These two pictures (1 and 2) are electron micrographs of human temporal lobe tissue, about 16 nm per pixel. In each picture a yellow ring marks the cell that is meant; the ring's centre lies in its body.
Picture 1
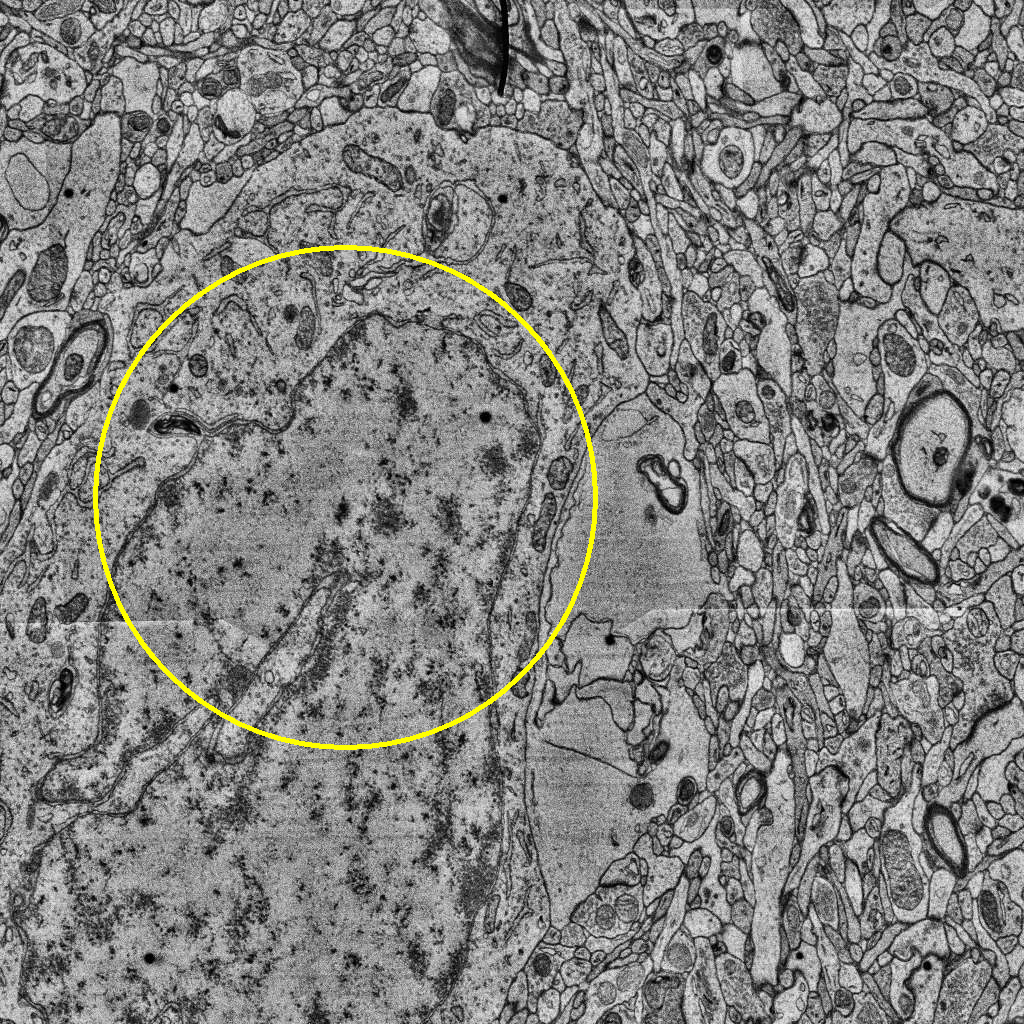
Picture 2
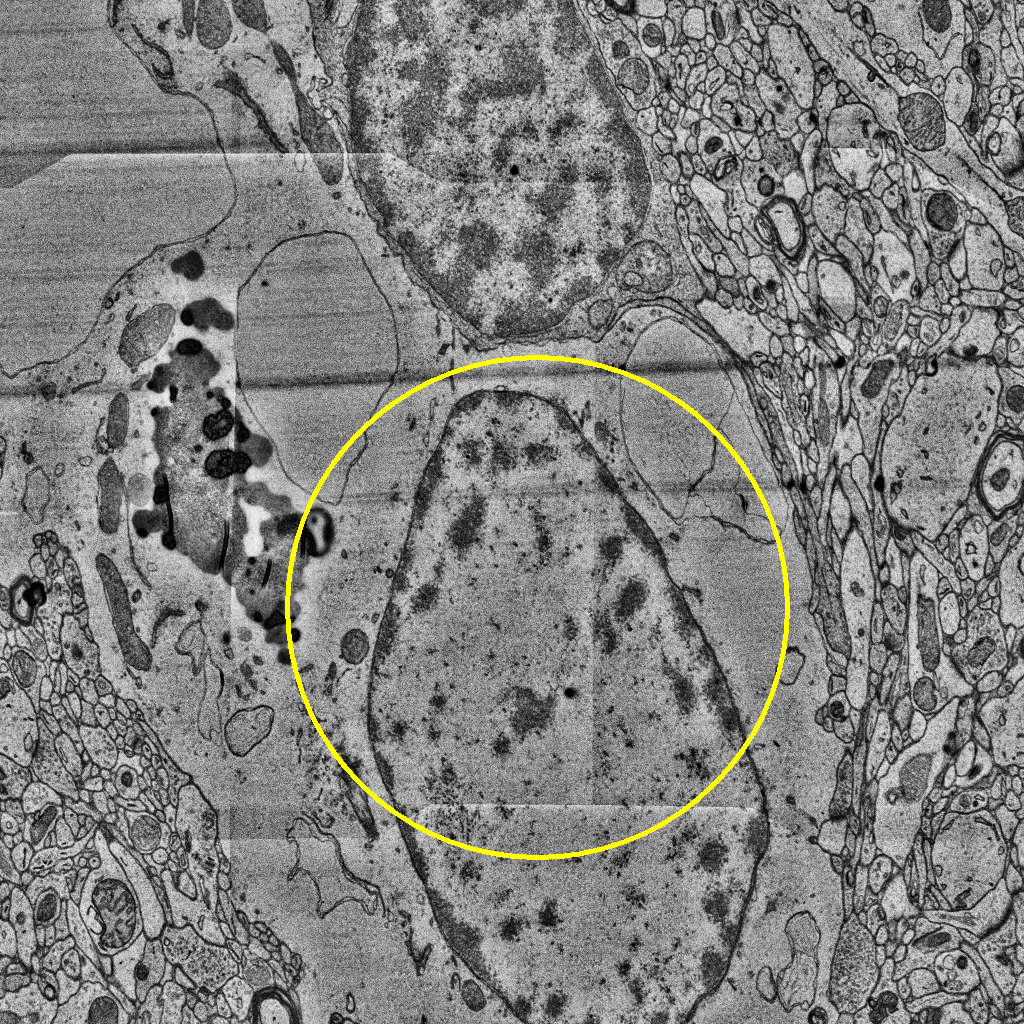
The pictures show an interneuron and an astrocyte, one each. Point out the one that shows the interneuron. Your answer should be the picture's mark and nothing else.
1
